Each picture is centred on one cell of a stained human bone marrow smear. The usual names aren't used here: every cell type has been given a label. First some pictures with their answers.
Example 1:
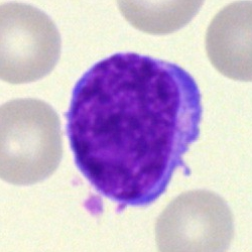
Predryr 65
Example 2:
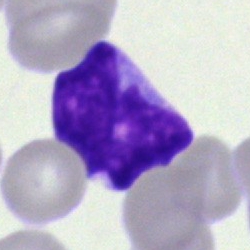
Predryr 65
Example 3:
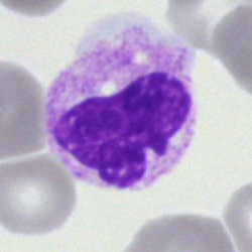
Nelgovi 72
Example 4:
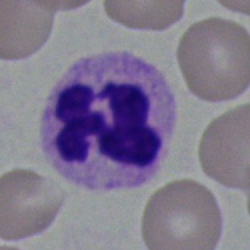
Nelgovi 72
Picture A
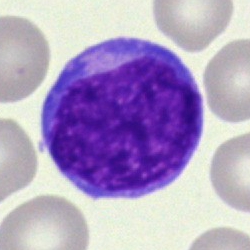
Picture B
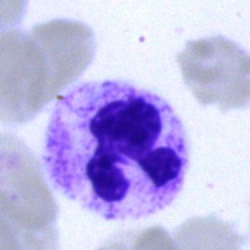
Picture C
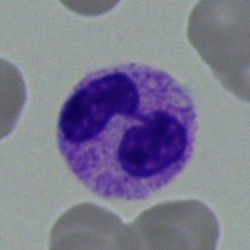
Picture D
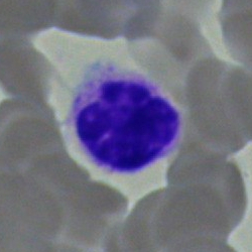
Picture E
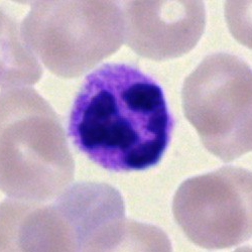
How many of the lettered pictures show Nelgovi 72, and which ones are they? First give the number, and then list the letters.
Count: 4 (B, C, D, E)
